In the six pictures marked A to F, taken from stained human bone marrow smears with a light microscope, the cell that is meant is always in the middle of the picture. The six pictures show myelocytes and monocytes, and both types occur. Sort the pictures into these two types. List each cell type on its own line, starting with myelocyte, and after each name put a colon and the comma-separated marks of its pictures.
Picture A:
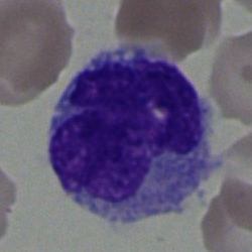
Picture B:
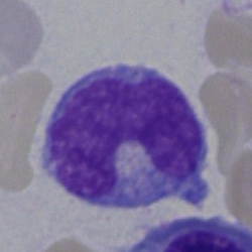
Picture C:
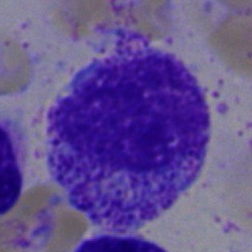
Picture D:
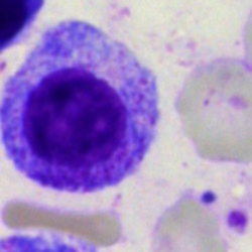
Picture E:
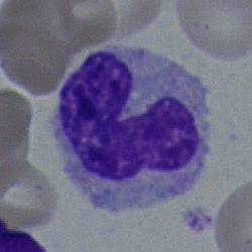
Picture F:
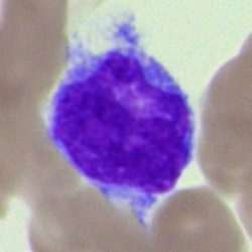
myelocyte: C, D
monocyte: A, B, E, F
